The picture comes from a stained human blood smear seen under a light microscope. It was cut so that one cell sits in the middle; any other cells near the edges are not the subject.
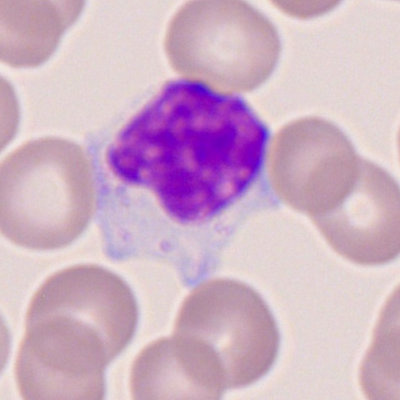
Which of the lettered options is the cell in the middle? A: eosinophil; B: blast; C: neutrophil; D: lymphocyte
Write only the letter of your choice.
D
